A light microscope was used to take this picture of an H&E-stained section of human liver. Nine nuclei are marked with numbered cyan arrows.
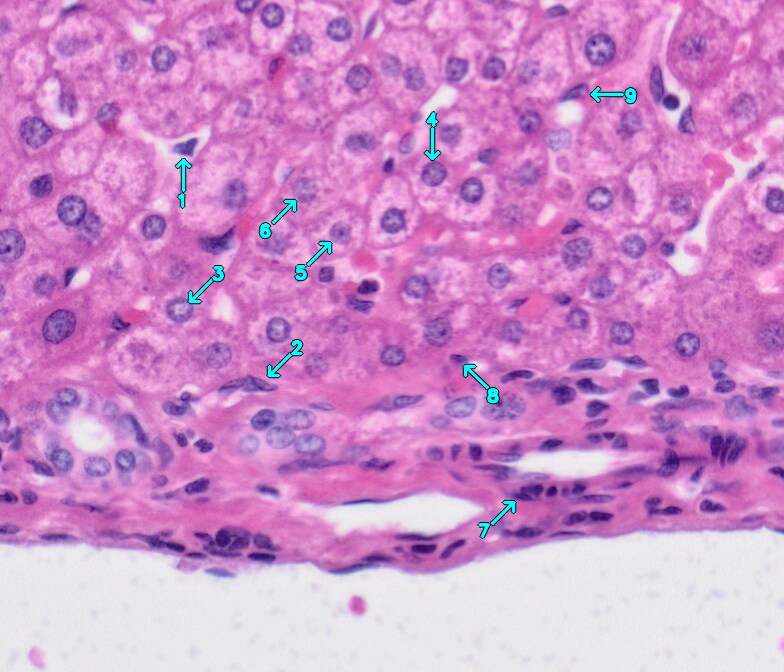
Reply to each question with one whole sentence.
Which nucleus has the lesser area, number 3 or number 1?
With nucleus 3 about 1.5 times its size, nucleus 1 is the smaller of the two.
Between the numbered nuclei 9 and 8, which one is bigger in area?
At about 2.5 times the area of nucleus 8, nucleus 9 is the larger of the two.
